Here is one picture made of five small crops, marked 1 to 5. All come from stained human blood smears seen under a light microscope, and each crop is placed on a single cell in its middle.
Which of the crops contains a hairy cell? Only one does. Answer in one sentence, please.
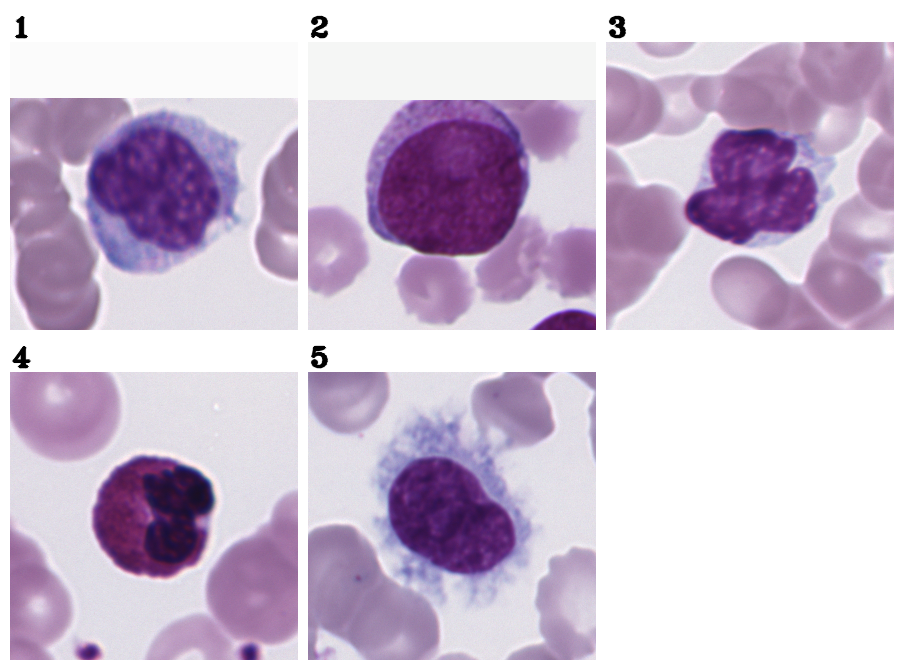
Look at crop 5; that is the one with a hairy cell in its center.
